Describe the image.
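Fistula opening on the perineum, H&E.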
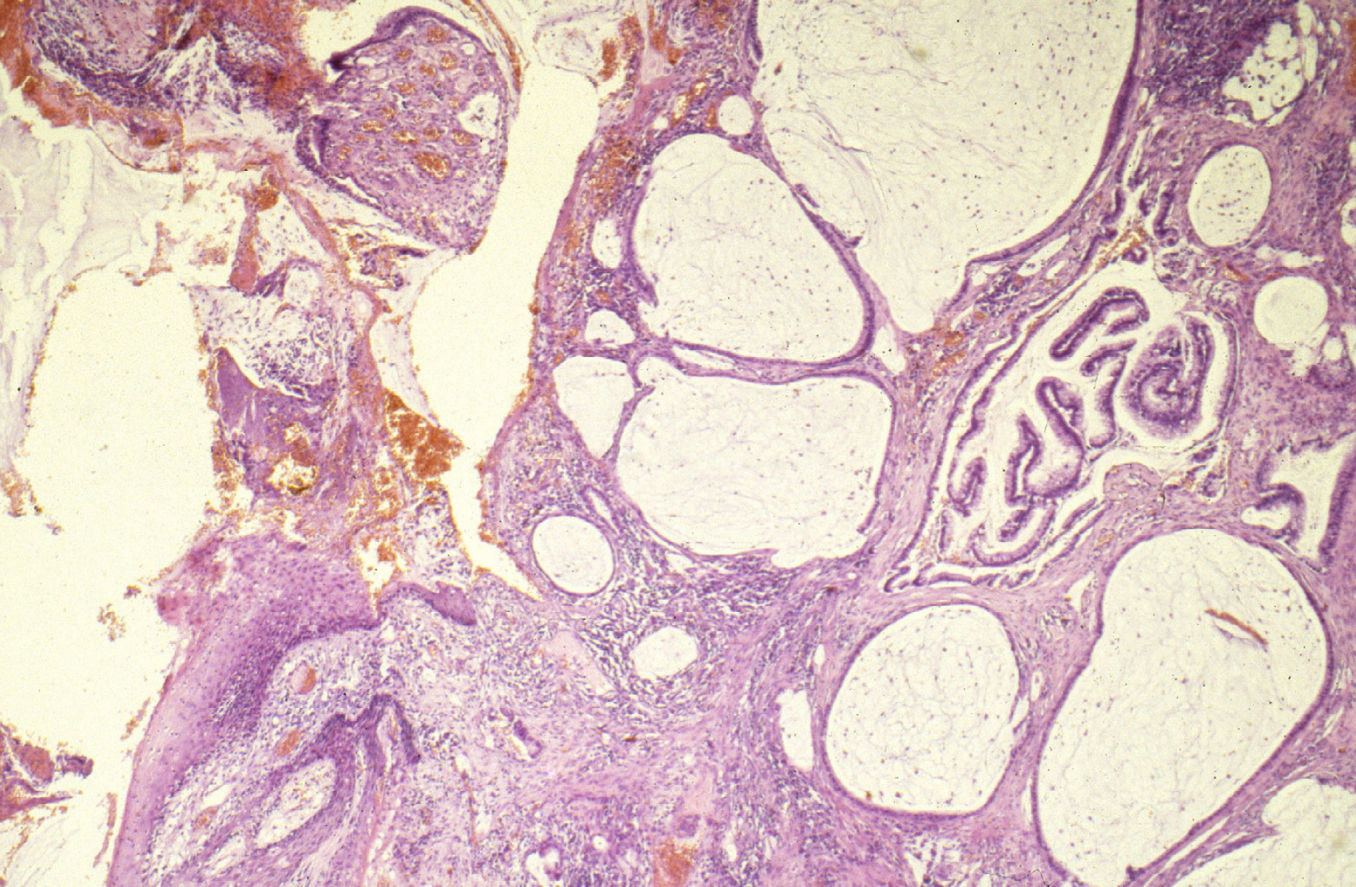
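Much of the field is taken up by rounded spaces of varying size filled with pale, wispy material holding a few scattered nuclei, separated by pink fibrous stroma with dense clusters of small dark cells. Some of these spaces are lined by a single row of tall cells with dark, basally placed nuclei, while others have only a thin or broken lining. On the right a space contains folded strips of the same tall epithelium, forming glandular loops. The pale-filled spaces are mucus-containing cystic spaces partly lined by cylindrical epithelium, the picture of a mucinous adenocarcinoma.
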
